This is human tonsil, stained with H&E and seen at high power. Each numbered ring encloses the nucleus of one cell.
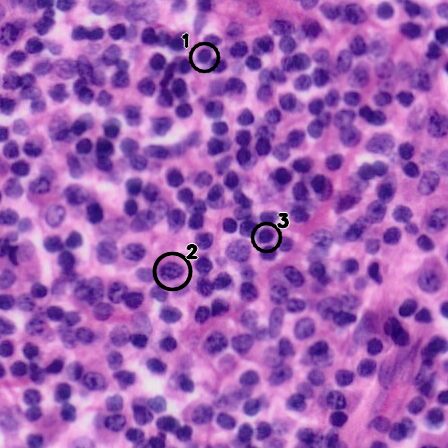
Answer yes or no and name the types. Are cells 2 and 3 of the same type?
No, cell 2 is a plasma cell and cell 3 is a small lymphocyte.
